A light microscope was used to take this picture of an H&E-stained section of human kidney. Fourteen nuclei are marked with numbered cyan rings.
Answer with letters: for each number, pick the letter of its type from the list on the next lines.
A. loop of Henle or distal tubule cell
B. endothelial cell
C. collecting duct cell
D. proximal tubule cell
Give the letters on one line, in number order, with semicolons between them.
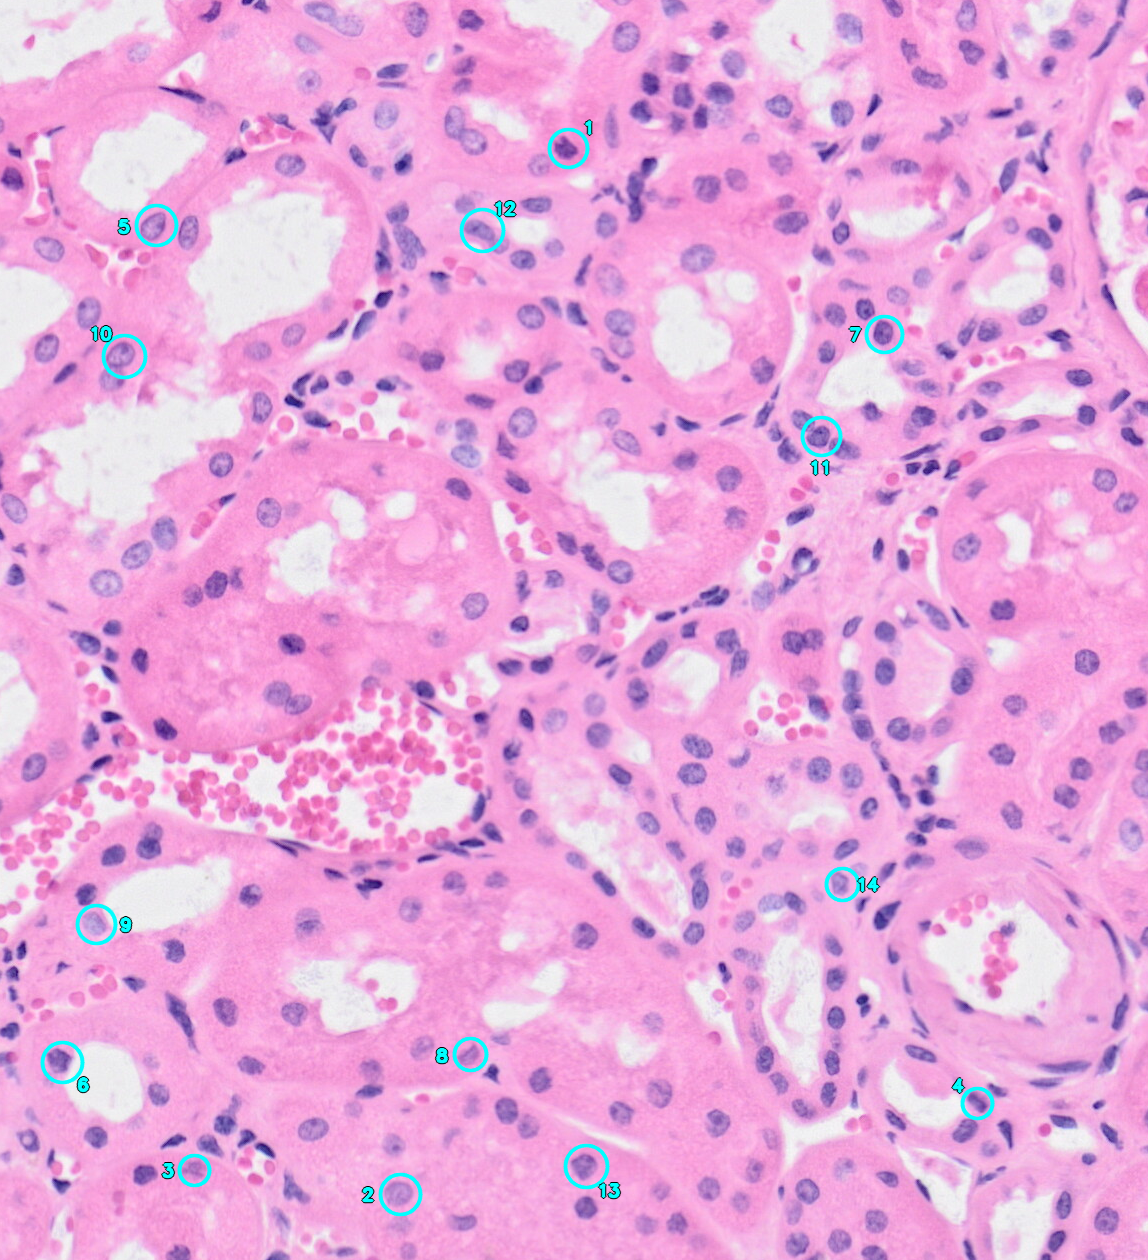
D; D; D; C; D; A; C; D; A; D; C; C; D; C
